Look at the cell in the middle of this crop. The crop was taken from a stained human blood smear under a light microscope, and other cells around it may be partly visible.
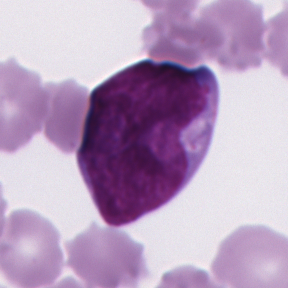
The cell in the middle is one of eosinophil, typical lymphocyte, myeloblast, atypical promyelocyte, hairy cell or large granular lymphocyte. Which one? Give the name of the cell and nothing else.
myeloblast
